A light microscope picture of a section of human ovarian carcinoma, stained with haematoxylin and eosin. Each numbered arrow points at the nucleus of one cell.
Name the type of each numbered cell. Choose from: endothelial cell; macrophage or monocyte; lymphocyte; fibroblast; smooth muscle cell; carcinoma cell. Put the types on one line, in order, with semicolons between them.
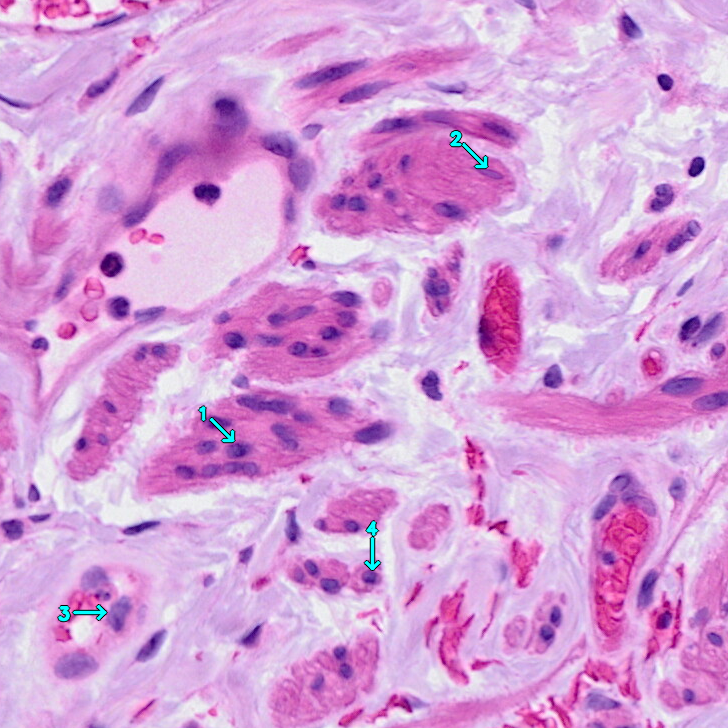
smooth muscle cell; smooth muscle cell; endothelial cell; smooth muscle cell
